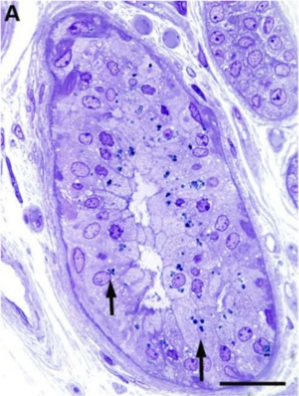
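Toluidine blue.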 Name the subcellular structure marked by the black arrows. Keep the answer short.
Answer: lipofuscin granules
